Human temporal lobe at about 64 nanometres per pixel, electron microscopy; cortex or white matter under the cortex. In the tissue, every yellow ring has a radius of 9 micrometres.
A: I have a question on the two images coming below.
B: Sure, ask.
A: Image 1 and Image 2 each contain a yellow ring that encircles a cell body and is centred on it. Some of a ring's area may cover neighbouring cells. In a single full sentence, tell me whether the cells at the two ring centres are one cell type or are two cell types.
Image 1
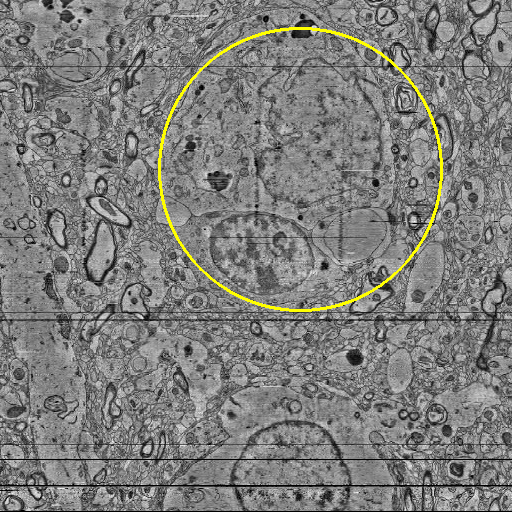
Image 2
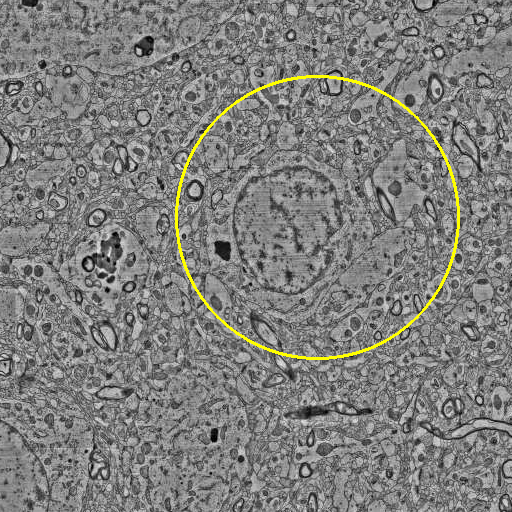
As for the ring-centre cells, the one in Image 1 and the one in Image 2 are one cell type.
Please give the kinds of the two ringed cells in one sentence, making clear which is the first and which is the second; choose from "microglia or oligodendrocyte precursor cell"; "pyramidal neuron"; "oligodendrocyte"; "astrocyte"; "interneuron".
Each of the two rings is centred on an interneuron.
